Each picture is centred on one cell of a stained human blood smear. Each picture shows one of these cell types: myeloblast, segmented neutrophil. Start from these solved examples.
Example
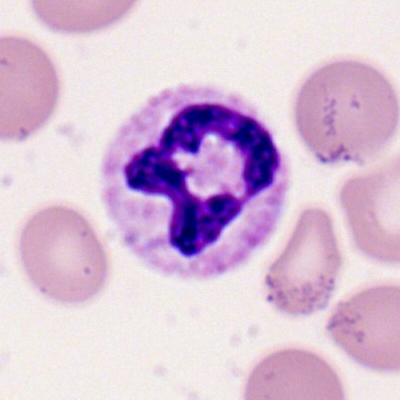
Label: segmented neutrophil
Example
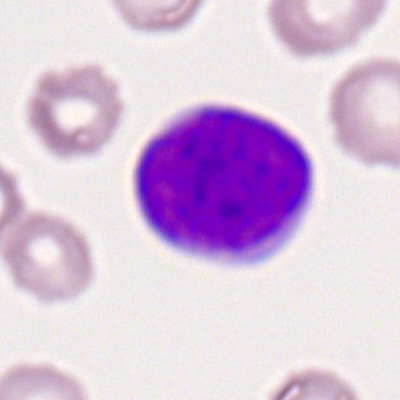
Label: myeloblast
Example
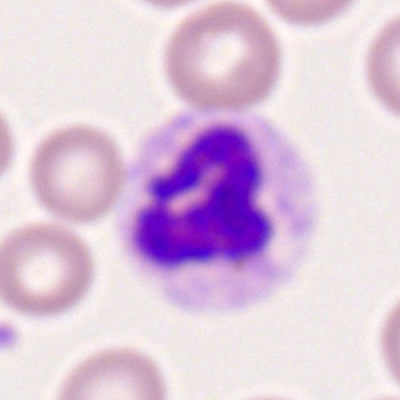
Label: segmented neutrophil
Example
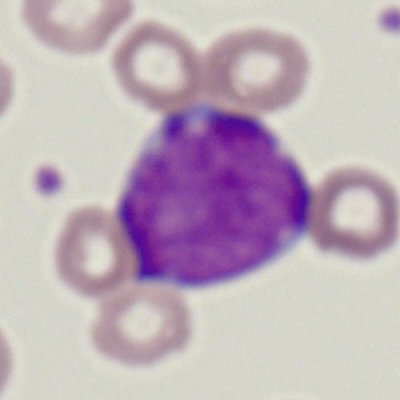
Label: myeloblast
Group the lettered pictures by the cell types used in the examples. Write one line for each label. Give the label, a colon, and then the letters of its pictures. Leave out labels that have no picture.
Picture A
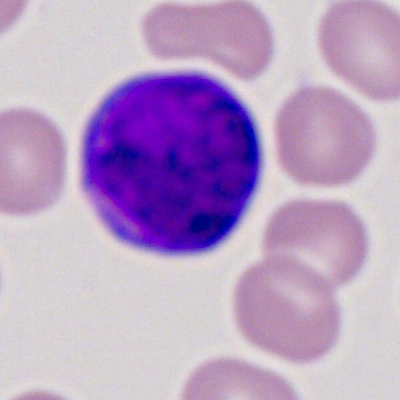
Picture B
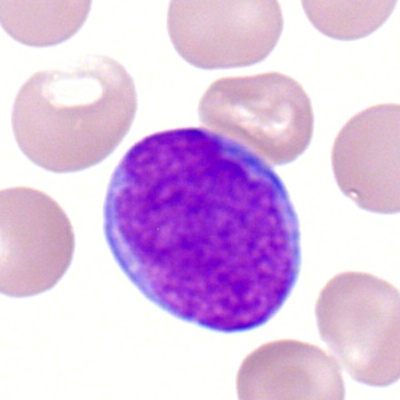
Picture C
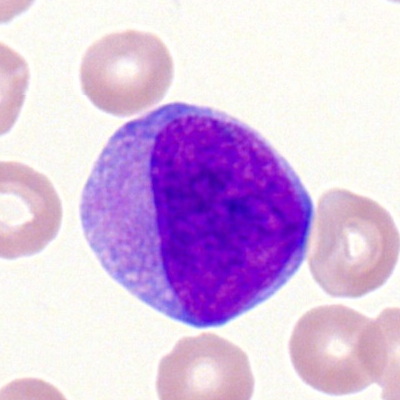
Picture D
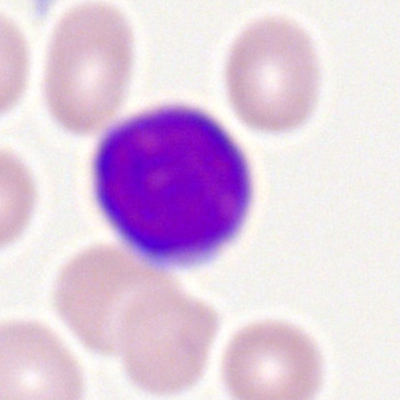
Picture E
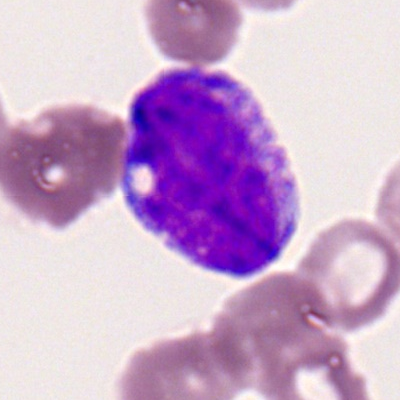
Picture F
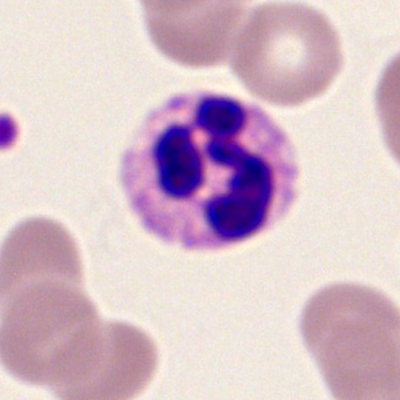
myeloblast: A, B, C, D, E
segmented neutrophil: F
